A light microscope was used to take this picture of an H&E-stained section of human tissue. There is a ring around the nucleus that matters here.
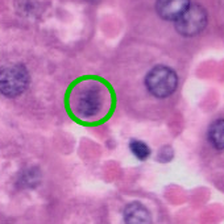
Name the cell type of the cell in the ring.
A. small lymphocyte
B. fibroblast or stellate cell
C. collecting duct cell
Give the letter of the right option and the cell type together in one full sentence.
Option B gets it right, as the cell in the ring is a fibroblast or stellate cell.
